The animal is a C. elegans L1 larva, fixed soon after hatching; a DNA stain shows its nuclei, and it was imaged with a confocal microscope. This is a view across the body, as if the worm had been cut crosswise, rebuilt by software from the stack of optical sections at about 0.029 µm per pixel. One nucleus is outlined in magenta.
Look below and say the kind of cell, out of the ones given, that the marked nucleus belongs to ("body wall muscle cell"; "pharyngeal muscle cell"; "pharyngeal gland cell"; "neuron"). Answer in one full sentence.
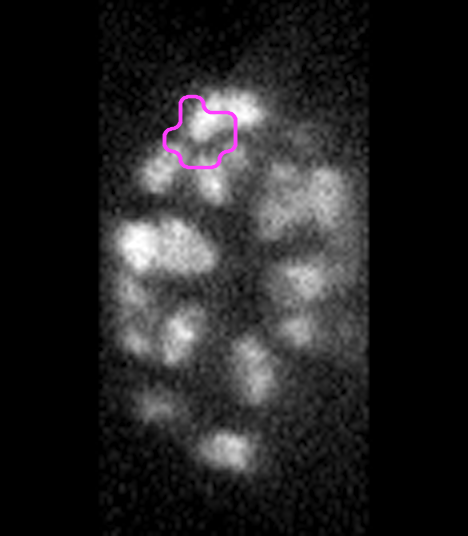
What is marked is the nucleus of a neuron.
